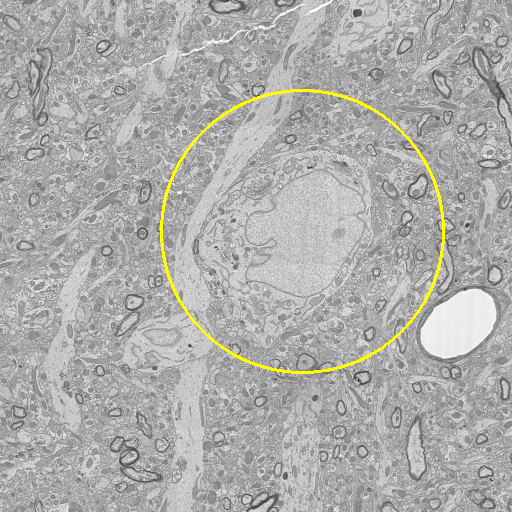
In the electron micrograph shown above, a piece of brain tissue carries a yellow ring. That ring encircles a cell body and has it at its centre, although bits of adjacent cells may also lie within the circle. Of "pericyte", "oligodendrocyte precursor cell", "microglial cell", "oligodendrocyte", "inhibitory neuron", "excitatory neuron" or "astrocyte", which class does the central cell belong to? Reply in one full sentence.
The cell body at the centre of the yellow ring belongs to an inhibitory neuron.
